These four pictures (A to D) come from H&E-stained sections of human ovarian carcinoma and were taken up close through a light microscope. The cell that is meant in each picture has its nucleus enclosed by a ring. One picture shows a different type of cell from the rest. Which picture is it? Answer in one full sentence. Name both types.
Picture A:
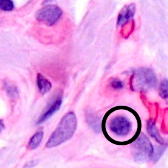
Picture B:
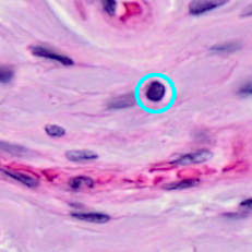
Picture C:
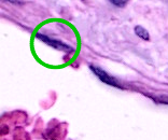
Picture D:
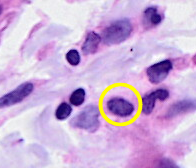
The different one is picture C; it shows an endothelial cell, whereas all the others show lymphocytes.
